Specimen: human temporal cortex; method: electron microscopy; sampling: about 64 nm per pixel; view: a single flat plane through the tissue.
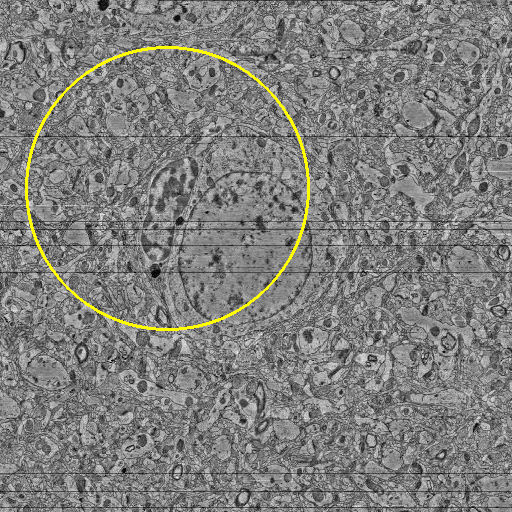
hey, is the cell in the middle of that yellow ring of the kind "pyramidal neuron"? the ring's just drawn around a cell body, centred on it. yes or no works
no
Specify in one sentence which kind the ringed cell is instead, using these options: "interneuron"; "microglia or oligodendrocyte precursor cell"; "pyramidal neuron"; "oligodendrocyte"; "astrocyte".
The ring's central cell is a microglial cell or oligodendrocyte precursor cell instead.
